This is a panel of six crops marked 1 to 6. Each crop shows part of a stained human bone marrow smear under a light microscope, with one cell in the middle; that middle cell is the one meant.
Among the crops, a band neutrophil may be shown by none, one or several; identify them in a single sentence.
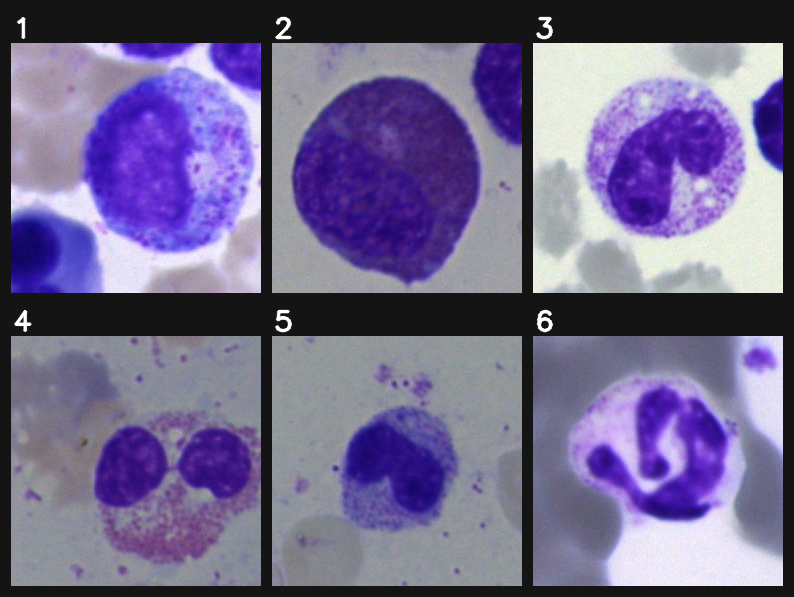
In the series, crops 3 and 5 show band neutrophils.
